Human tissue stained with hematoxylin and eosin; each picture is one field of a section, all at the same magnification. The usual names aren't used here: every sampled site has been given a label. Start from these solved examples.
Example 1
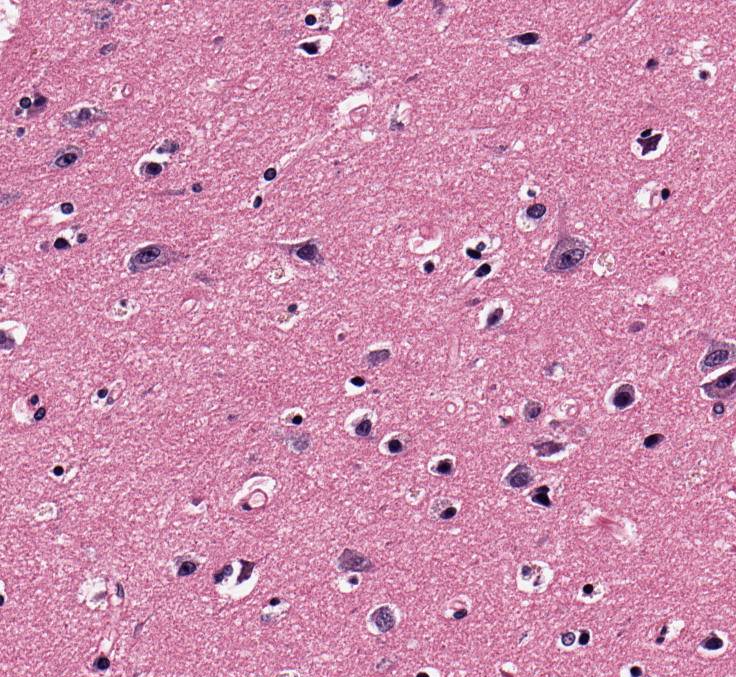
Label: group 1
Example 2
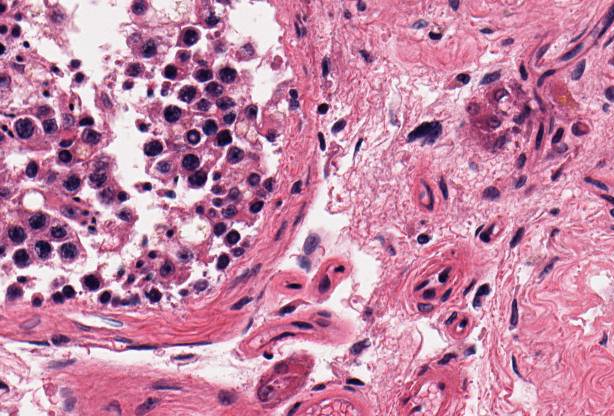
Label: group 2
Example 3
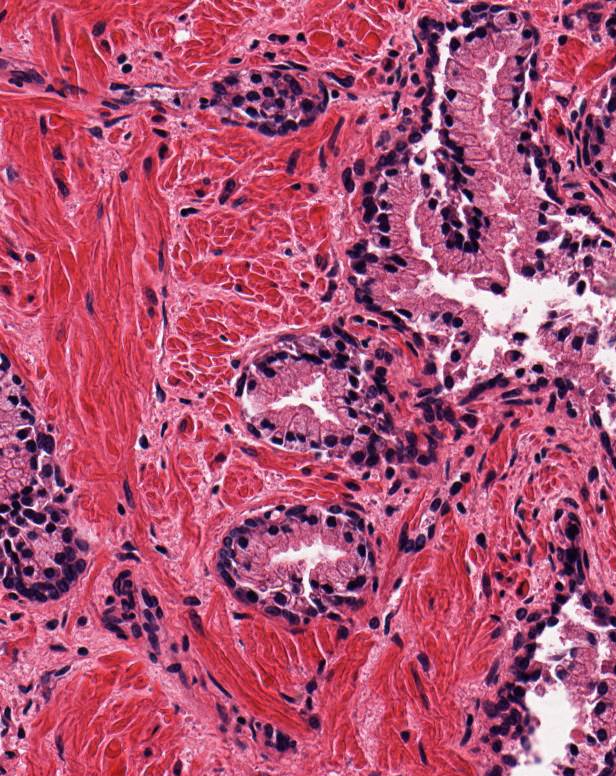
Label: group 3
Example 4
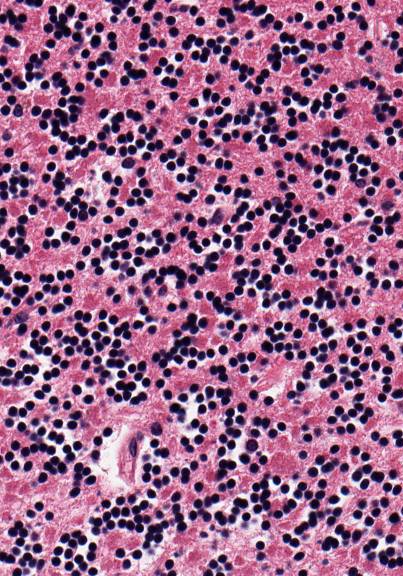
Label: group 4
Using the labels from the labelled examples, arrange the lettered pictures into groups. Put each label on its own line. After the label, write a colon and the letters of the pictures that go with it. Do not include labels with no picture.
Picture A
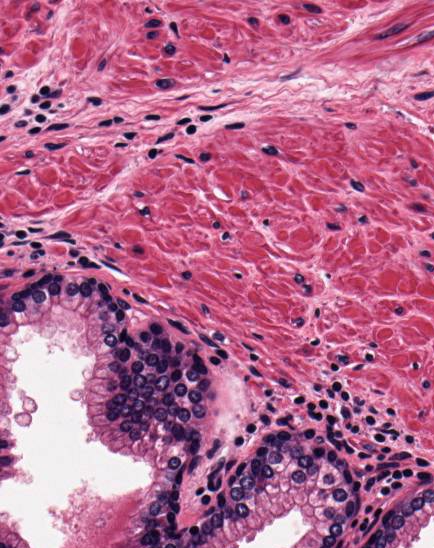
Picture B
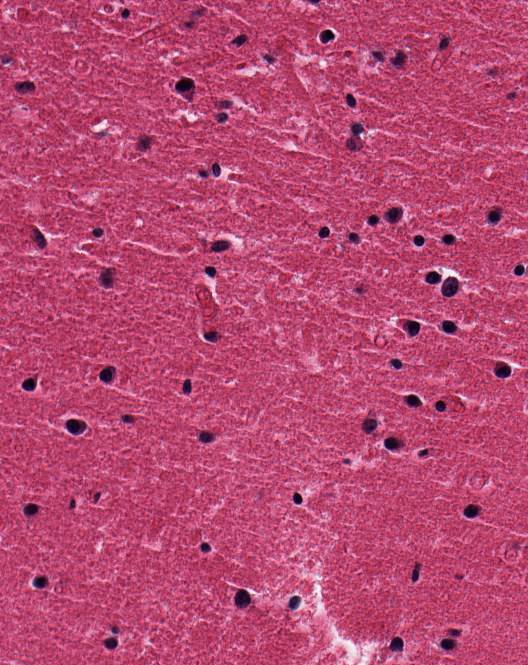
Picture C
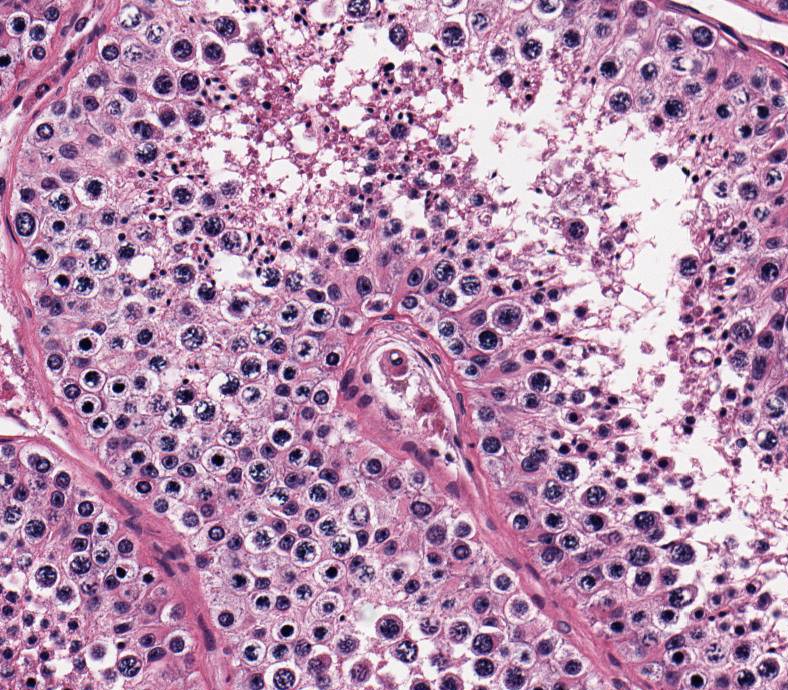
group 2: C
group 3: A
group 4: B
